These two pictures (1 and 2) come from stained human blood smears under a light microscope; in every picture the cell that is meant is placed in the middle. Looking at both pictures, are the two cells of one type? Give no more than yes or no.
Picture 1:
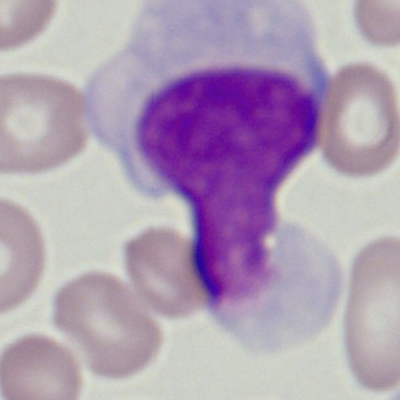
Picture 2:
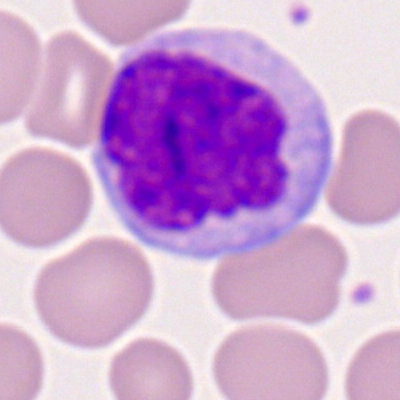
yes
